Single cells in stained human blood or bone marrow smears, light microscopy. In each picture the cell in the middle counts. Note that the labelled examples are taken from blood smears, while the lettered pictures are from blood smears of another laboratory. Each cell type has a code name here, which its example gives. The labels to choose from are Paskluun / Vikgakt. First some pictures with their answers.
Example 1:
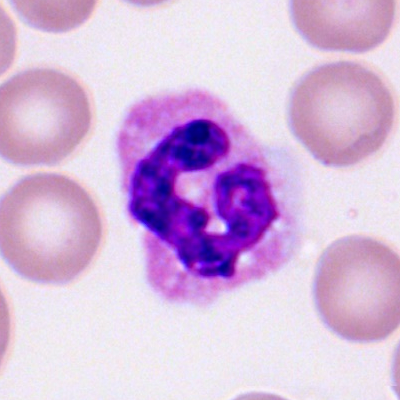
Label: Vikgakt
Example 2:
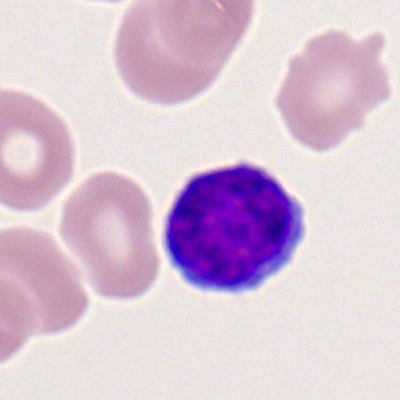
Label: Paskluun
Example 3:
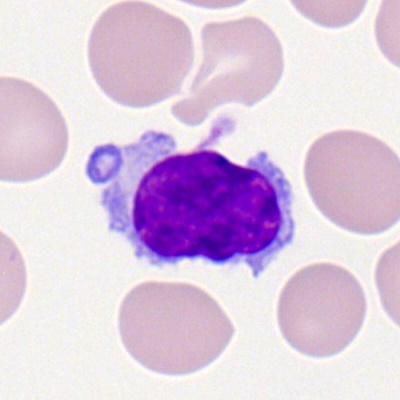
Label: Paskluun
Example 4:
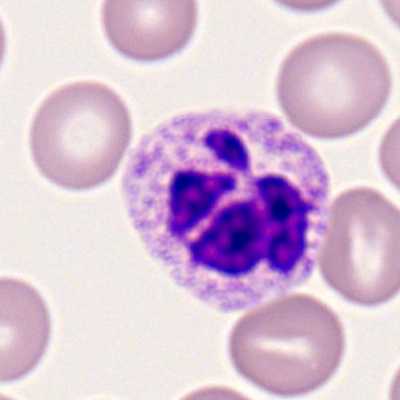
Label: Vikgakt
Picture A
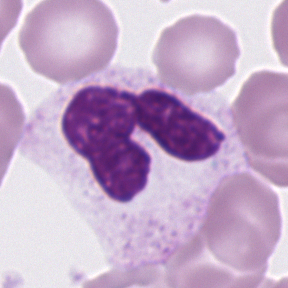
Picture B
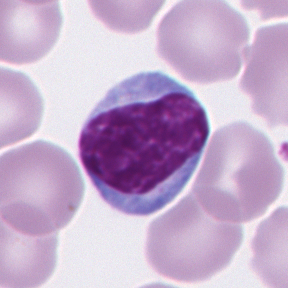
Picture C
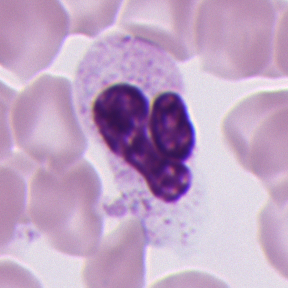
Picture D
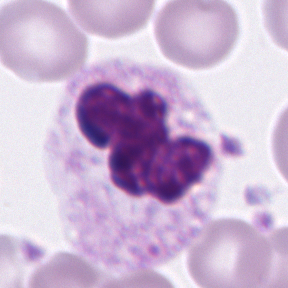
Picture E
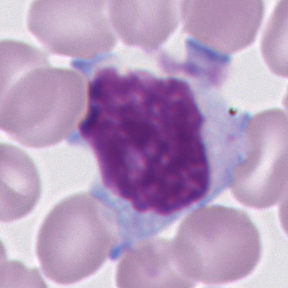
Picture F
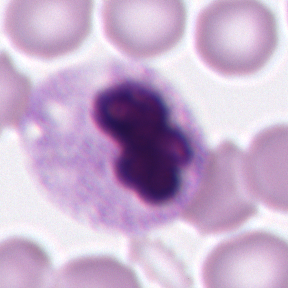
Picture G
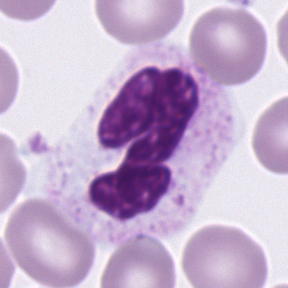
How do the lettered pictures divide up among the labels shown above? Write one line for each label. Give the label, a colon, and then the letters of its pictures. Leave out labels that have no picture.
Paskluun: B, E
Vikgakt: A, C, D, F, G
